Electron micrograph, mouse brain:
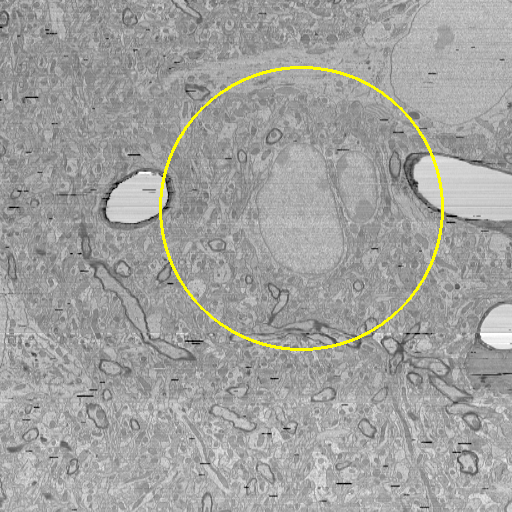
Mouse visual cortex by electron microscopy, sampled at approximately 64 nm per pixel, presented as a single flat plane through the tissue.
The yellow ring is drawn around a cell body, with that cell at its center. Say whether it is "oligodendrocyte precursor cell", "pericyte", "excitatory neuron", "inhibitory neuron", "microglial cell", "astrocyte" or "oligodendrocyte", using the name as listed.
astrocyte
